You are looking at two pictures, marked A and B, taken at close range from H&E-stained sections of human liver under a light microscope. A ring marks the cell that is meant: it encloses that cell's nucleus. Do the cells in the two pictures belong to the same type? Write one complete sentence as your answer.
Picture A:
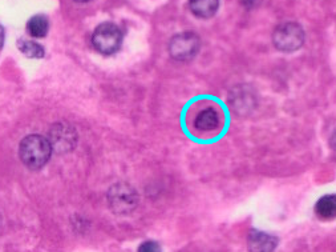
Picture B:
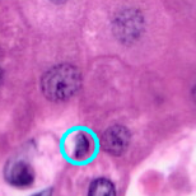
Yes; the cells in both pictures are “fibroblasts or stellate cells”.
